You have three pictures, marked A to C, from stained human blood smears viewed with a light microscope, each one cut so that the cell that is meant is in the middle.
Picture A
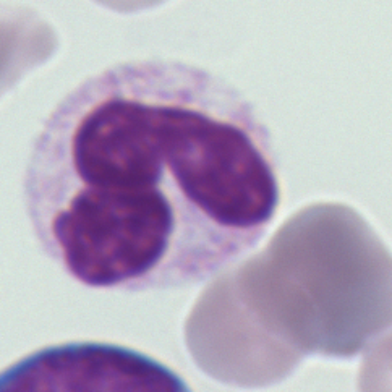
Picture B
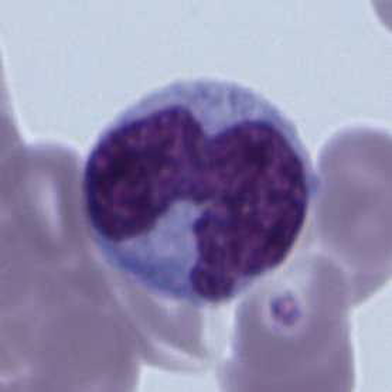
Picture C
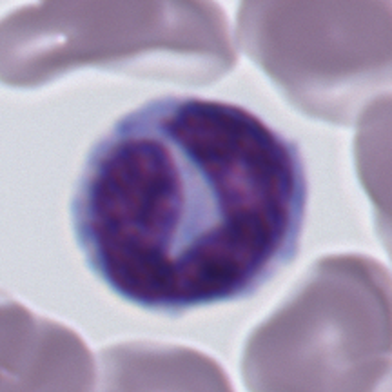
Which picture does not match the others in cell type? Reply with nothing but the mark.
A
